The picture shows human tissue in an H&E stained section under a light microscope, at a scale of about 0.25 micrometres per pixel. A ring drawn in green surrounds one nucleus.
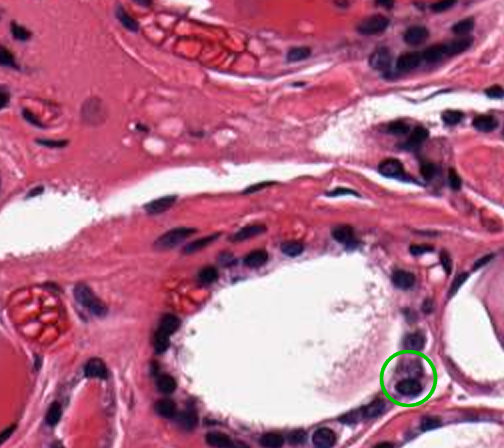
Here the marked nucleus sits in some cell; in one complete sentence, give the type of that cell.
In this image, the nucleus that is marked belongs to a thyroid follicular cell.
